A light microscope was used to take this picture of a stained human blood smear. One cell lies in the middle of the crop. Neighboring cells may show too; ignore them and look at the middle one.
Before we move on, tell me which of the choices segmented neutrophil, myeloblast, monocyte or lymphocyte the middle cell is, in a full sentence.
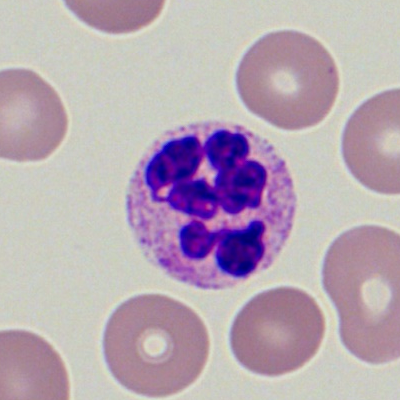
The middle position in this crop is taken by a segmented neutrophil.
